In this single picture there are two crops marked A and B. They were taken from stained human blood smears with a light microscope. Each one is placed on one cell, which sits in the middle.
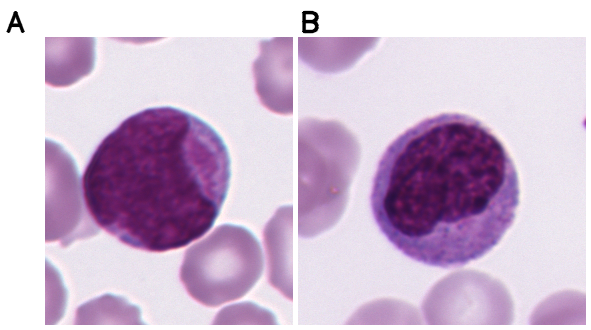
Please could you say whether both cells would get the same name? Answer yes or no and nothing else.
no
